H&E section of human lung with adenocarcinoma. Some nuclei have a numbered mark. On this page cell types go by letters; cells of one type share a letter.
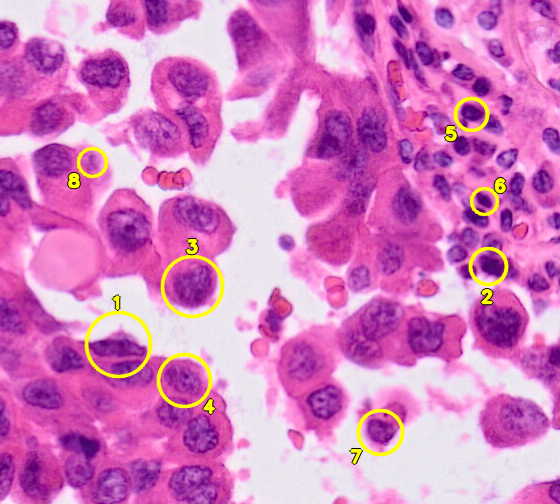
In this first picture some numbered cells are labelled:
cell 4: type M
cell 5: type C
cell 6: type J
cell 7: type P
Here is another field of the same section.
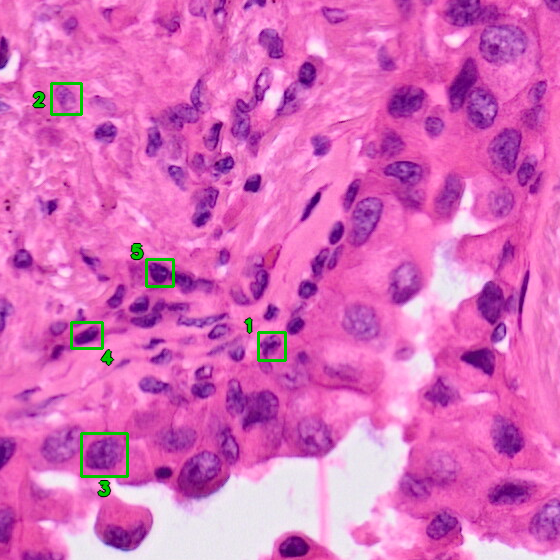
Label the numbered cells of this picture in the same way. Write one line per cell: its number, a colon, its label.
1: type J
2: type P
3: type M
4: type C
5: type C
